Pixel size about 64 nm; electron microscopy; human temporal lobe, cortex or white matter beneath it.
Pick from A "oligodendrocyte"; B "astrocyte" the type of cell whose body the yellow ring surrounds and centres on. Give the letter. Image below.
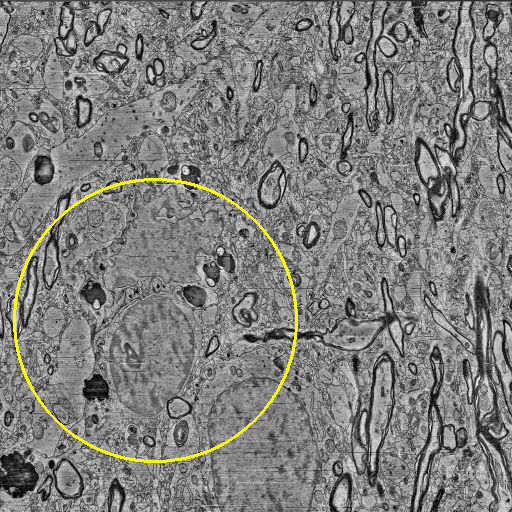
A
